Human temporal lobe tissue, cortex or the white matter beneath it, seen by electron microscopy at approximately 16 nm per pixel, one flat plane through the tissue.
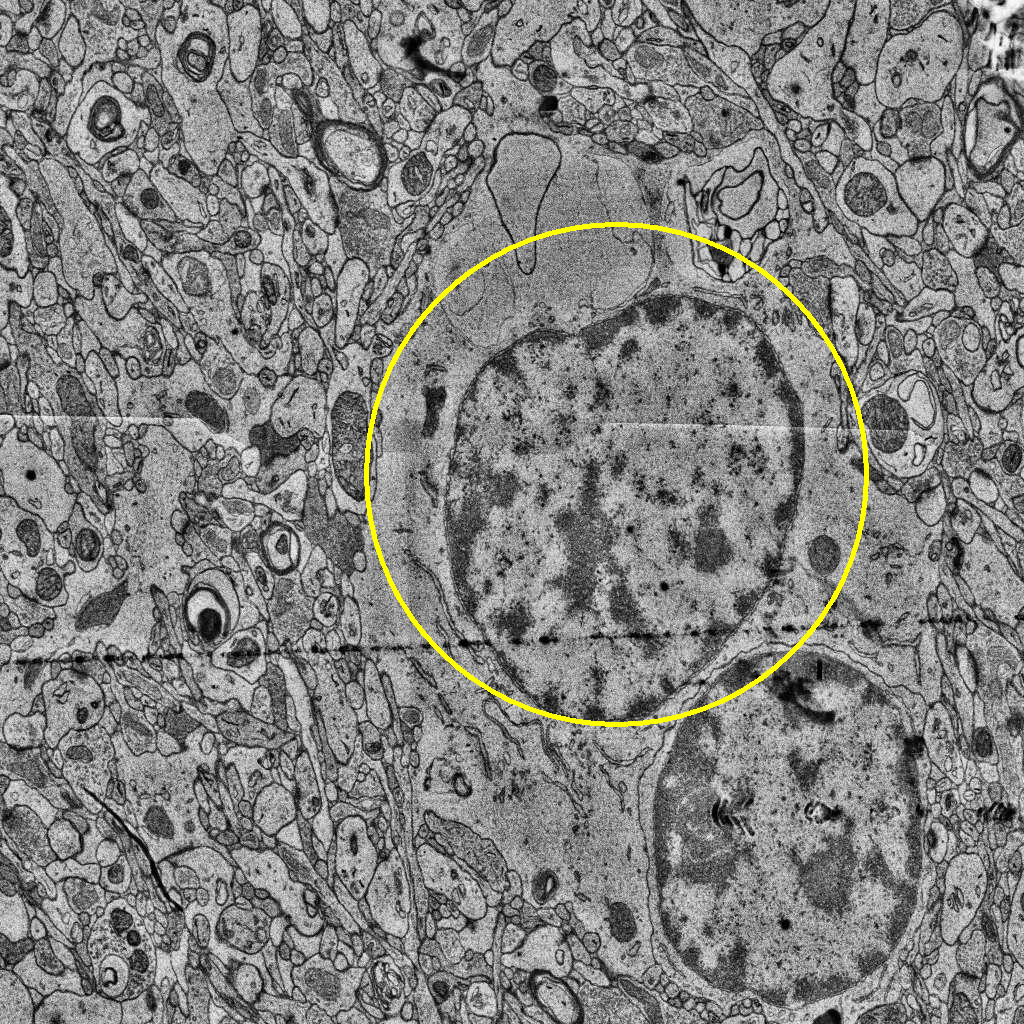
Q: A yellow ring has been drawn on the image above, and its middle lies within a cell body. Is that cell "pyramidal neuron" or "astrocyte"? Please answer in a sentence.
The ring's middle lies in the cell body of an astrocyte.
